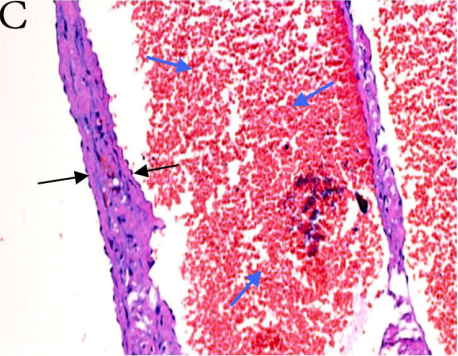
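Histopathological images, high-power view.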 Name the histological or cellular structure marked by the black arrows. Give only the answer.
vessel walls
